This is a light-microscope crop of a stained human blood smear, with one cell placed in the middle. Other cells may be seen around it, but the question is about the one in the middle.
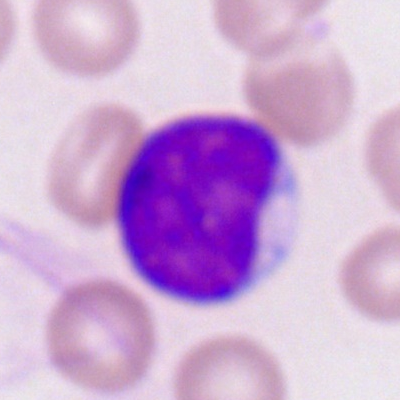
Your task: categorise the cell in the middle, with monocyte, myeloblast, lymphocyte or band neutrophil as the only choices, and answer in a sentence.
At the middle of the frame sits a myeloblast.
